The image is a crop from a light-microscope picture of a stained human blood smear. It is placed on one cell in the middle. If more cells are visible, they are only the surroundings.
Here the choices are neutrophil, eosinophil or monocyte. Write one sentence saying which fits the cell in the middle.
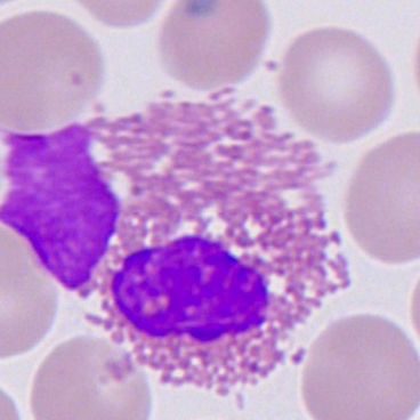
The target cell in the middle of the crop is an eosinophil.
